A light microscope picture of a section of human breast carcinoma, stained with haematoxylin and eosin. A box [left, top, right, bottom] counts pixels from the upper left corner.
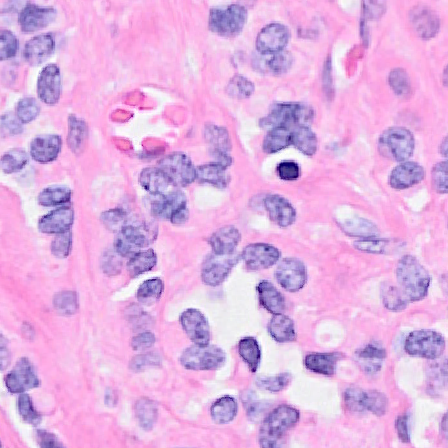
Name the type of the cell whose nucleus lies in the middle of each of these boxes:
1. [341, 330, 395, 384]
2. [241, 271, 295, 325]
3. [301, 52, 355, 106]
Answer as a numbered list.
1. carcinoma cell
2. carcinoma cell
3. endothelial cell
